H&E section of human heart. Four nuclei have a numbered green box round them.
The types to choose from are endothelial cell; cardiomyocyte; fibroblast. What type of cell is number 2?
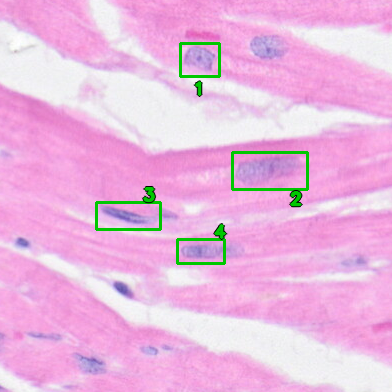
cardiomyocyte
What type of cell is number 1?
cardiomyocyte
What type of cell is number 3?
endothelial cell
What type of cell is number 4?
cardiomyocyte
